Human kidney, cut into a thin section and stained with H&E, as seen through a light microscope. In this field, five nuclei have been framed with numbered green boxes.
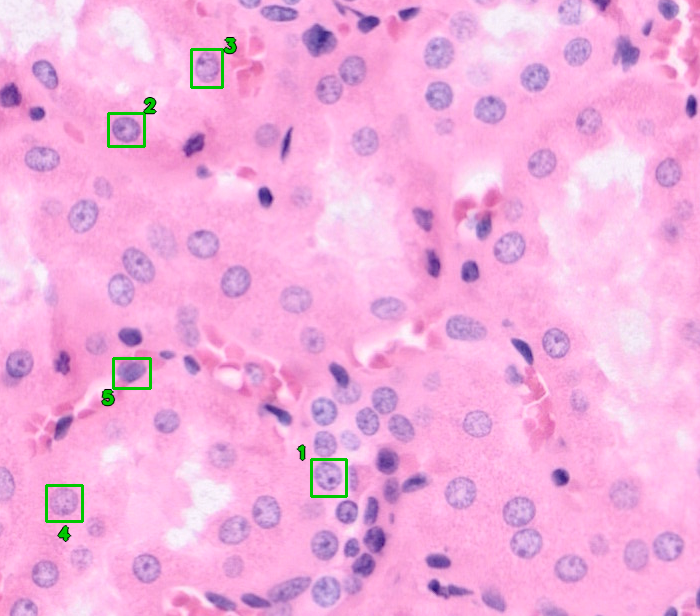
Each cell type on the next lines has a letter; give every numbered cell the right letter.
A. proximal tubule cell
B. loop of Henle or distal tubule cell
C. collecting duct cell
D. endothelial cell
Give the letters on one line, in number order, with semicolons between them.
C; A; A; A; D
